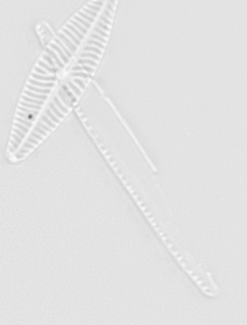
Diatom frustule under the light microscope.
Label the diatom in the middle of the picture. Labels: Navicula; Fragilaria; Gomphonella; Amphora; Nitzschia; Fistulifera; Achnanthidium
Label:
Nitzschia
